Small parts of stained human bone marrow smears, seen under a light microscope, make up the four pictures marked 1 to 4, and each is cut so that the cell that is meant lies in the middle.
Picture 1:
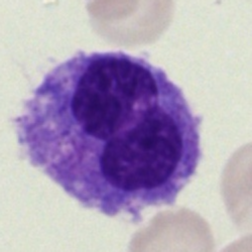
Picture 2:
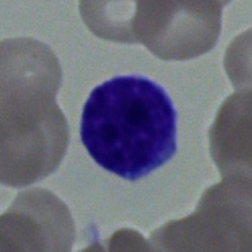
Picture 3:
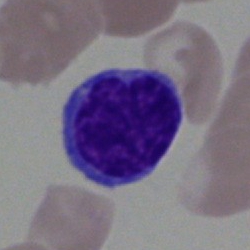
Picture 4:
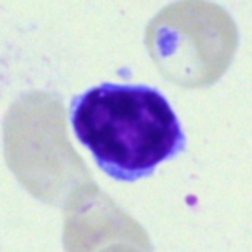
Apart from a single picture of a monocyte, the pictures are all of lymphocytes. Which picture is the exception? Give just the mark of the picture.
1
